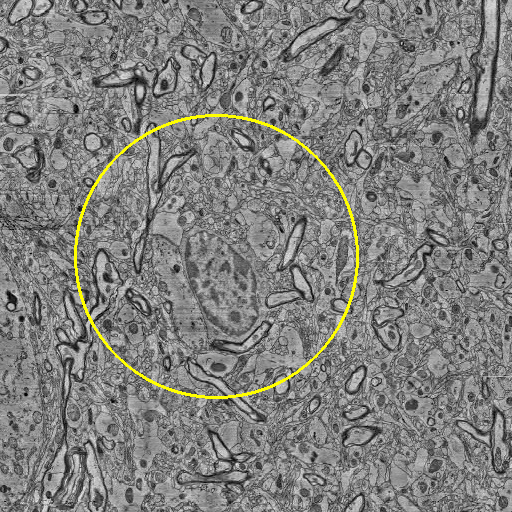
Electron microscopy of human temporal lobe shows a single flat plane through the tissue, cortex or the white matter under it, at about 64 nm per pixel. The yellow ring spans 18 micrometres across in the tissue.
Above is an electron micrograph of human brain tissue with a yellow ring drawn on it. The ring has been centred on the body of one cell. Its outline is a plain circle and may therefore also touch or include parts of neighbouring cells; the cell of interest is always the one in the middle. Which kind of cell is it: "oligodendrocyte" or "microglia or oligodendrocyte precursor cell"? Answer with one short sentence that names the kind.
The ring's central cell body is that of an oligodendrocyte.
